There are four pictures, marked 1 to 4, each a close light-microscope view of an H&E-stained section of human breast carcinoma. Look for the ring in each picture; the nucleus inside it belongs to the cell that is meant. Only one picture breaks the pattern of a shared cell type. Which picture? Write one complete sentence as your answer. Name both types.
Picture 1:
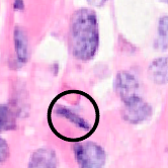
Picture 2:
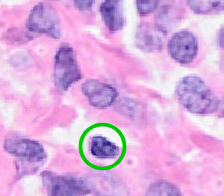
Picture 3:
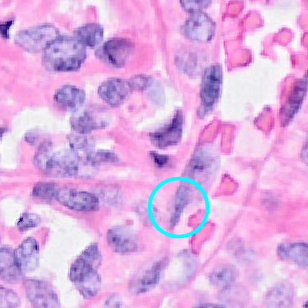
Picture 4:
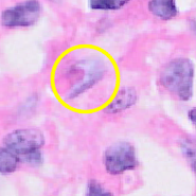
Unlike the rest, which show endothelial cells, picture 2 shows a lymphocyte.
